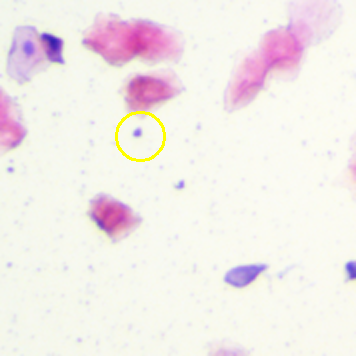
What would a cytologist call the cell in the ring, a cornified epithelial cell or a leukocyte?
A cytologist would call it a leukocyte.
